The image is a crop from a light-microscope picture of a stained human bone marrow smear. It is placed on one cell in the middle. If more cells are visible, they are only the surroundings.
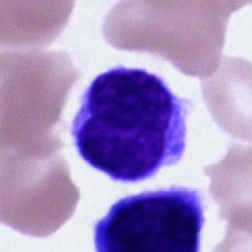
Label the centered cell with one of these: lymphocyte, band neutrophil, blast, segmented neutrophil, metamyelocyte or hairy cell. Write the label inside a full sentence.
Centred in the crop is a lymphocyte.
